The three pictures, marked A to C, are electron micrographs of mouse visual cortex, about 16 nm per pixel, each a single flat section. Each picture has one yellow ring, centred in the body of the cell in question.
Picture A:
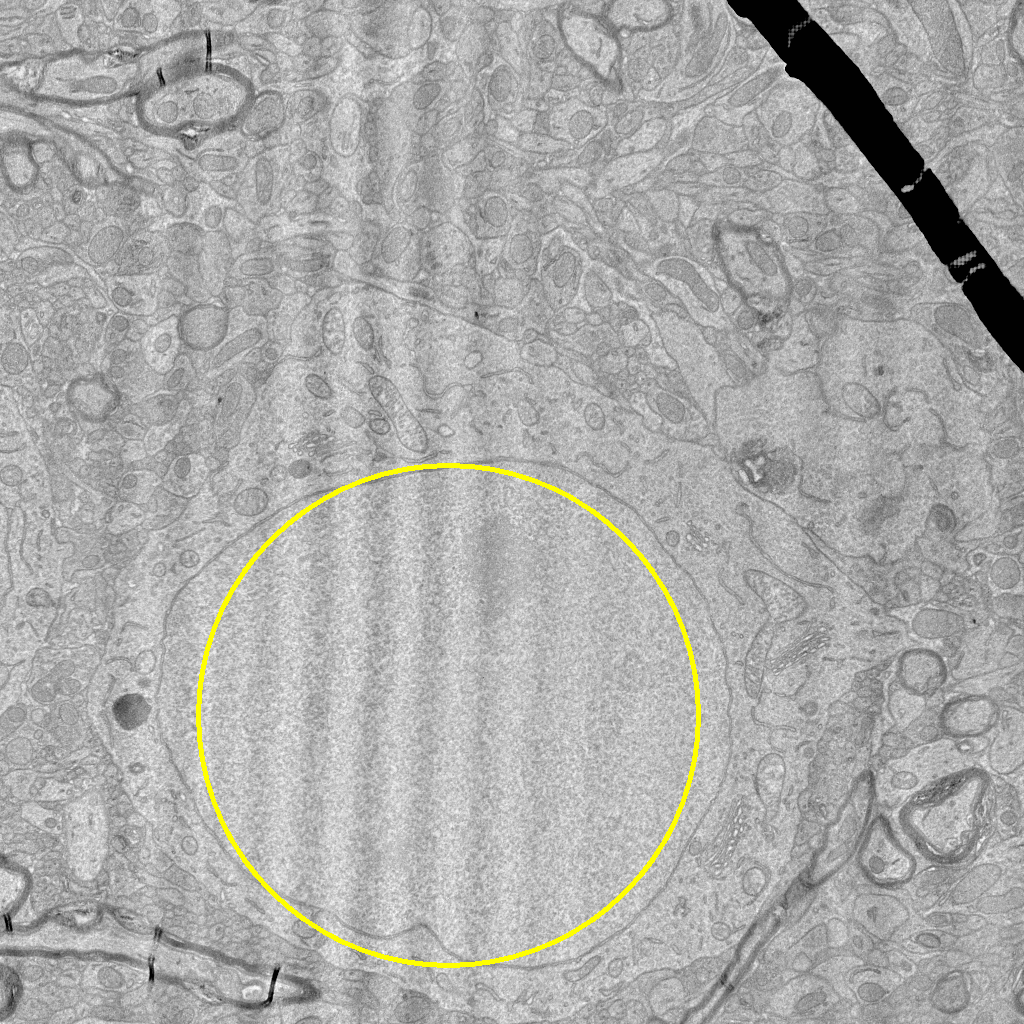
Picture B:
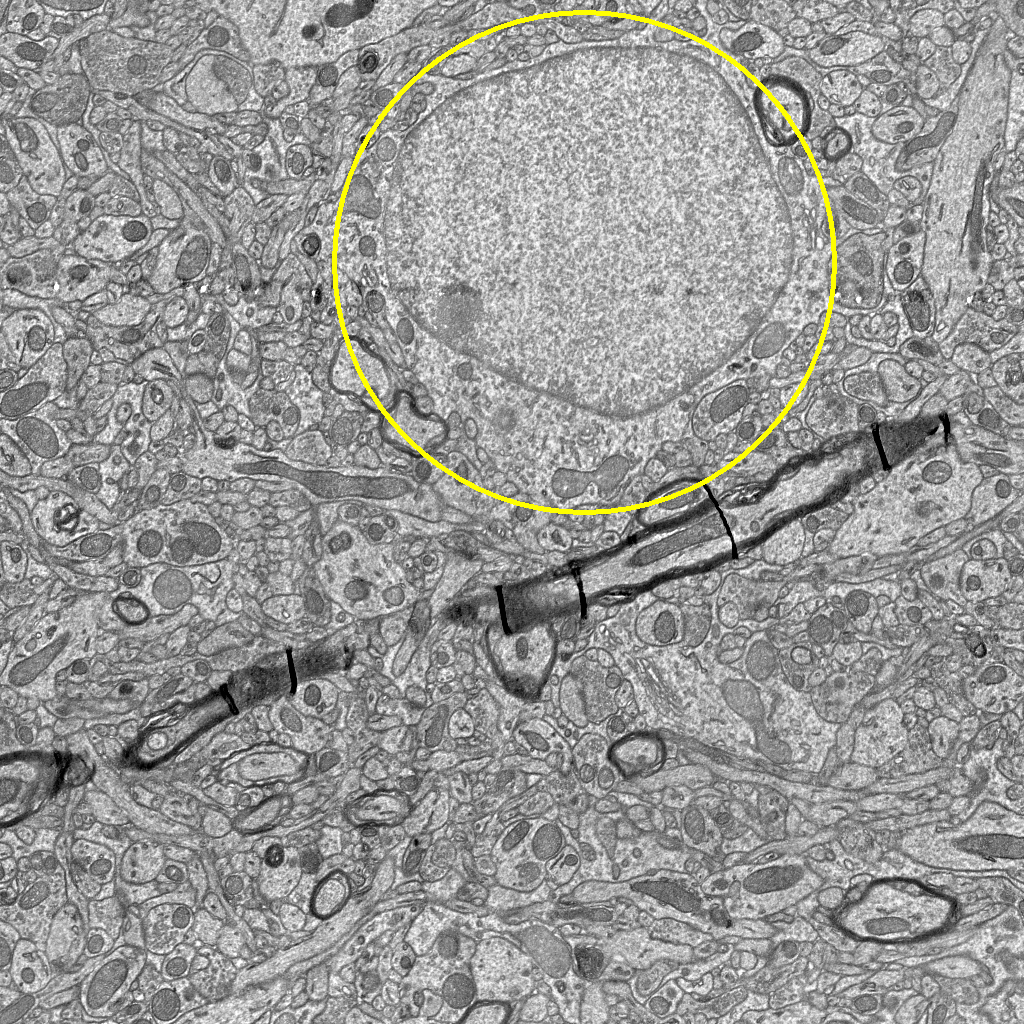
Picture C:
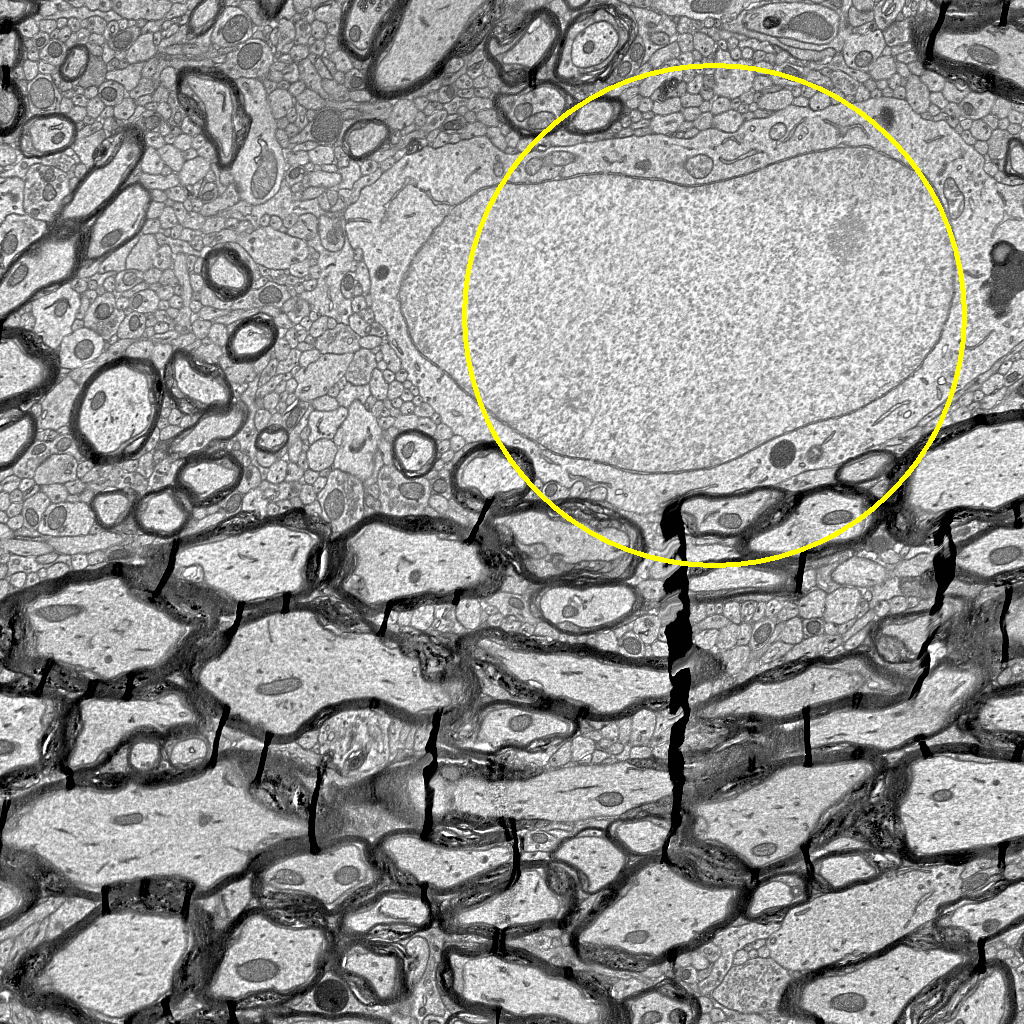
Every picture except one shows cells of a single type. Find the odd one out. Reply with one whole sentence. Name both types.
Picture B differs, because its cell is an astrocyte and the rest are excitatory neurons.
